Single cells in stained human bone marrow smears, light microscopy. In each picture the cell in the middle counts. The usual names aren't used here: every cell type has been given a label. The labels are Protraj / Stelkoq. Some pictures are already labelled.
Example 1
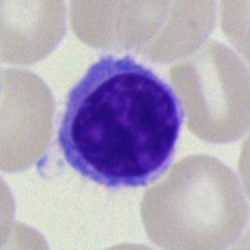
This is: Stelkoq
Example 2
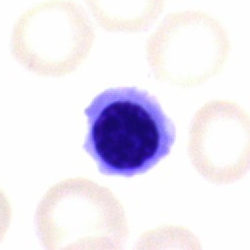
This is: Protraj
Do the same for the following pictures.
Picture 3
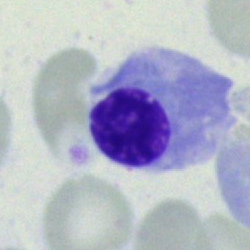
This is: Protraj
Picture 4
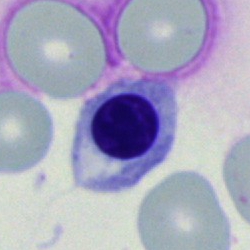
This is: Protraj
